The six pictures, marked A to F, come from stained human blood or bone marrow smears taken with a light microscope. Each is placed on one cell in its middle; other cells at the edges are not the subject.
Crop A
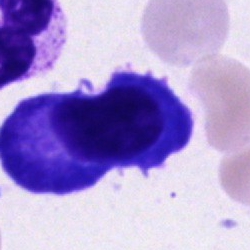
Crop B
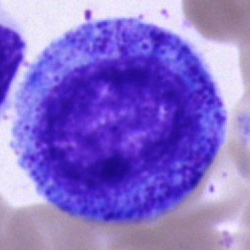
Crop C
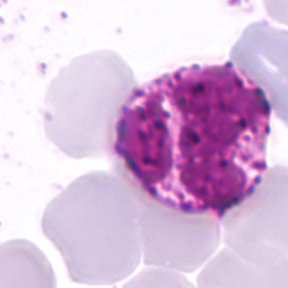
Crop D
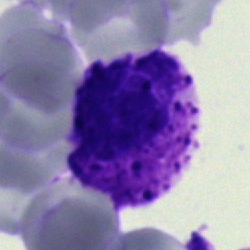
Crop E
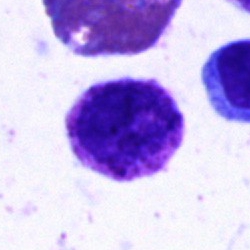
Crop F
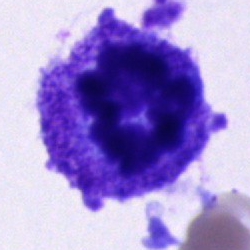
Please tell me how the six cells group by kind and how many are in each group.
basophil: 3
promyelocyte: 2
plasma cell: 1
